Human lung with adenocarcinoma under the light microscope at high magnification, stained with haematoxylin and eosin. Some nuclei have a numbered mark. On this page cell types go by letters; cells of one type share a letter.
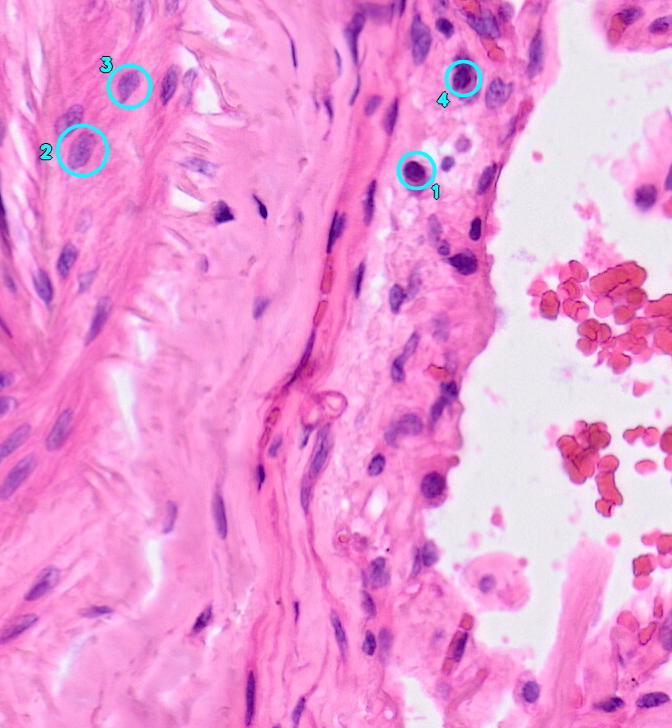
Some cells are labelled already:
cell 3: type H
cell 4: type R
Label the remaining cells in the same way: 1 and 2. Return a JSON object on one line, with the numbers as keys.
{"1": "type R", "2": "type H"}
